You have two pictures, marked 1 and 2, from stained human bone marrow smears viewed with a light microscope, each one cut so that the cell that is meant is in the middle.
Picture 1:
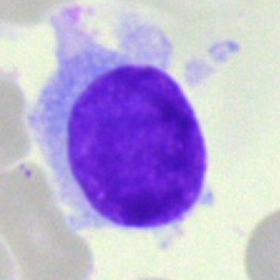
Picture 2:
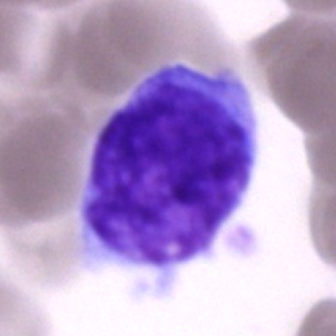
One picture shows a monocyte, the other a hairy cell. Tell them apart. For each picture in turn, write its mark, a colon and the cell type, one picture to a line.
1: hairy cell
2: monocyte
